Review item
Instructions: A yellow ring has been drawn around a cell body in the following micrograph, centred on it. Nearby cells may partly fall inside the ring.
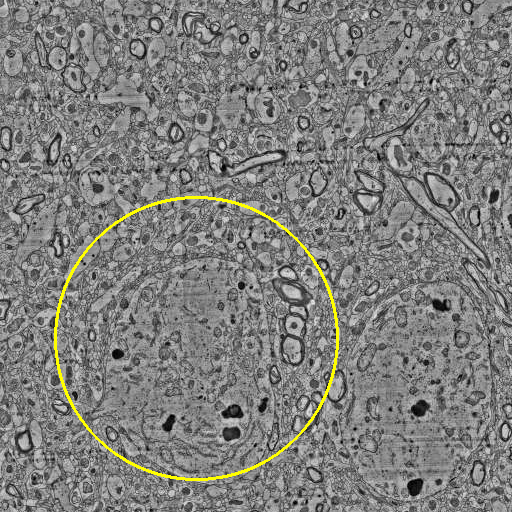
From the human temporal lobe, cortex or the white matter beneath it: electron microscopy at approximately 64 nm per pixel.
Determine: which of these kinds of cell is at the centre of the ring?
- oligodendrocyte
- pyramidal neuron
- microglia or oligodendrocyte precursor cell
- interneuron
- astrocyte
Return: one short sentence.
The cell body in the middle of the ring is that of a pyramidal neuron.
